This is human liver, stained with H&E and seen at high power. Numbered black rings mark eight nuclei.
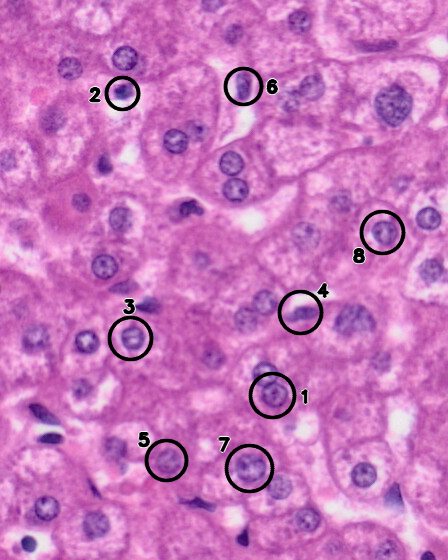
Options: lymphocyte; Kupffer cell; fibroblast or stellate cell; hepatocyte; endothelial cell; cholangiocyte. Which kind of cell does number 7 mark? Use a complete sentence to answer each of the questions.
Belonging to a hepatocyte is the nucleus that carries the number 7.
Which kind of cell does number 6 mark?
The cell given label 6 is a Kupffer cell.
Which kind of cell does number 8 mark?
The marked nucleus 8 is that of a hepatocyte.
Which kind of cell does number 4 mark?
In this section, the cell numbered 4 is a Kupffer cell.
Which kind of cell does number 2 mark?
The cell marked with number 2 is a lymphocyte.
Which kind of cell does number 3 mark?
The cell that carries the label 3 is a hepatocyte.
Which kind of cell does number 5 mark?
Cell 5 is classified as a hepatocyte.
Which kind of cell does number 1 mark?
Recognised here as a hepatocyte is the cell numbered 1.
